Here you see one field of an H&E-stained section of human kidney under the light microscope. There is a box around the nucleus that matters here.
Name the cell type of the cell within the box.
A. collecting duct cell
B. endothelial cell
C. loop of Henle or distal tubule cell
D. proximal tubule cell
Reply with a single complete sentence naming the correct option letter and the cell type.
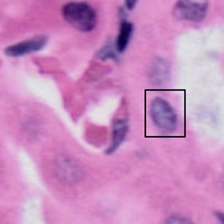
Here the cell within the box is a loop of Henle or distal tubule cell, which makes option C correct.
